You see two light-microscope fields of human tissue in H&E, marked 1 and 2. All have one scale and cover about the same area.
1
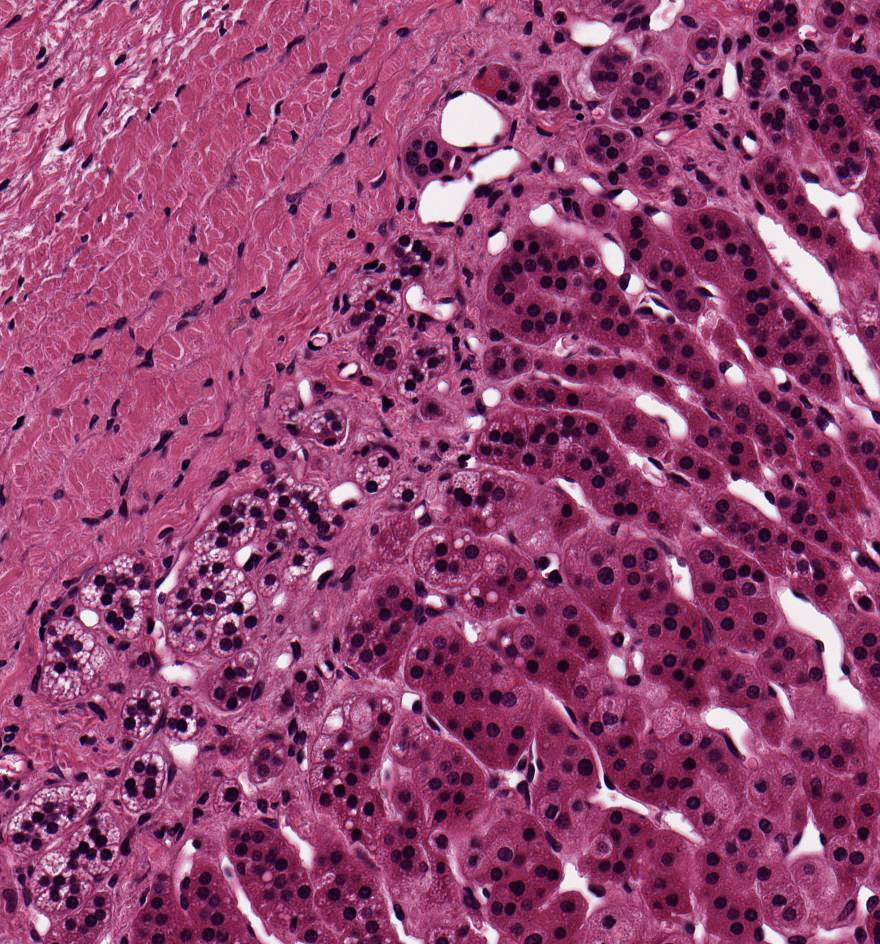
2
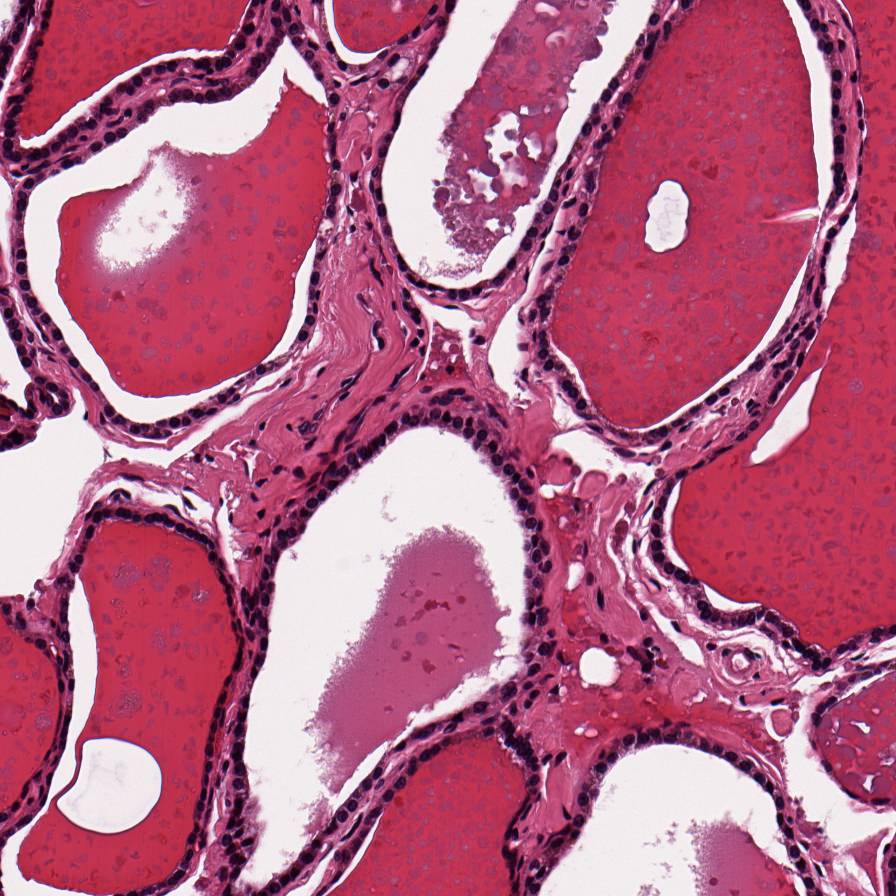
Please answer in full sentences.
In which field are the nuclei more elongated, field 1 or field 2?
On the whole the nuclei of field 2 are more drawn out than those of field 1.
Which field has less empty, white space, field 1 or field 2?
Less of field 1 is empty and white.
